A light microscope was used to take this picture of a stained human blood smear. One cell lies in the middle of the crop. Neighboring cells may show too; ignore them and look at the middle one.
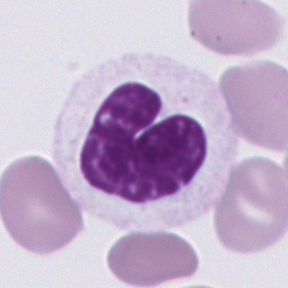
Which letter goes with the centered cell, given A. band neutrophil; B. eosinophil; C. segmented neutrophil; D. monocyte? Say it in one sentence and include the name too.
The cell at the centre is a band neutrophil, and option A accordingly is correct.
